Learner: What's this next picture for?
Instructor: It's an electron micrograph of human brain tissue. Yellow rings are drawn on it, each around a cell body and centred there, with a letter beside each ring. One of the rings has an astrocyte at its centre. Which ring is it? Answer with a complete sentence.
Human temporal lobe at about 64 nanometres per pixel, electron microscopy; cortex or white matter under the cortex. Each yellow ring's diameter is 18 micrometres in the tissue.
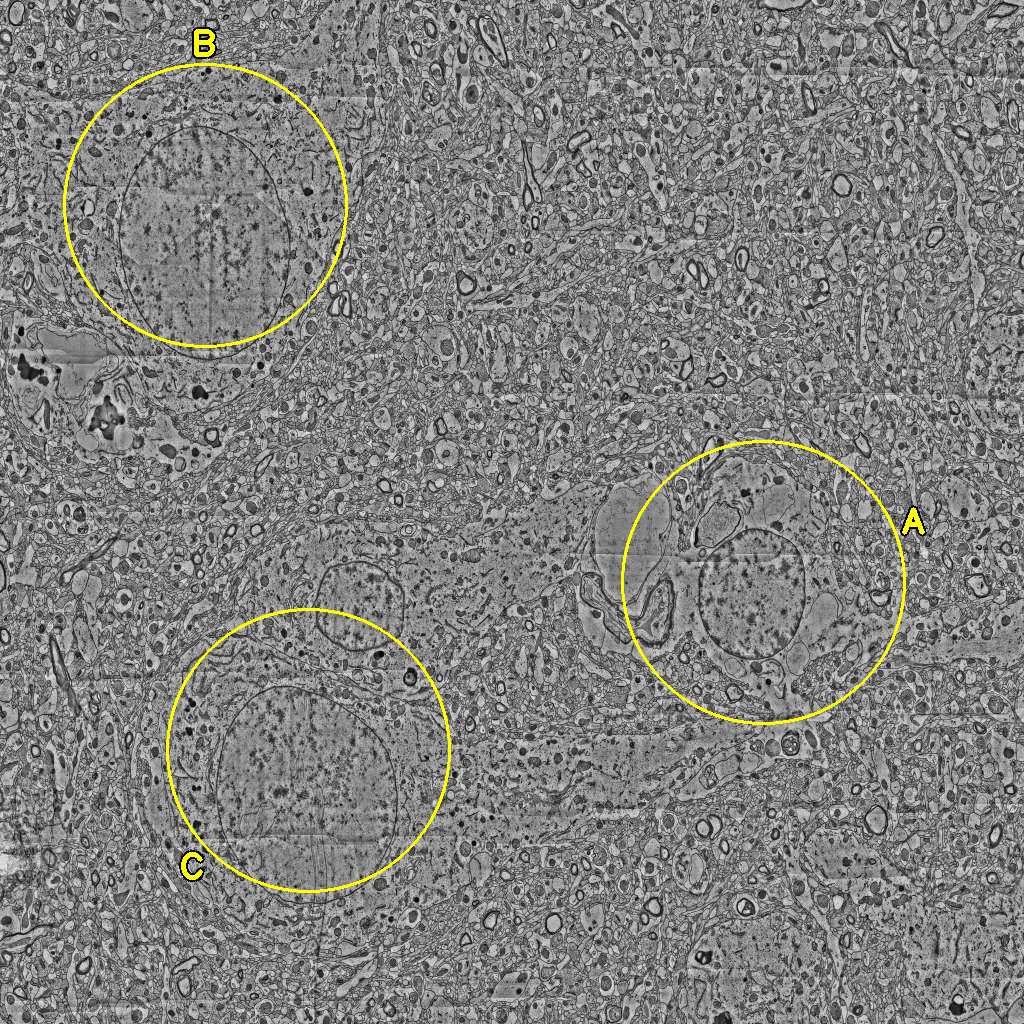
Ring A is centred on it.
